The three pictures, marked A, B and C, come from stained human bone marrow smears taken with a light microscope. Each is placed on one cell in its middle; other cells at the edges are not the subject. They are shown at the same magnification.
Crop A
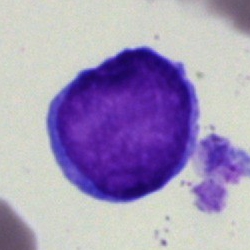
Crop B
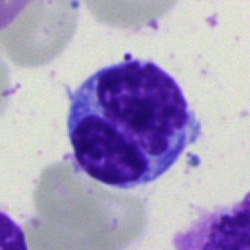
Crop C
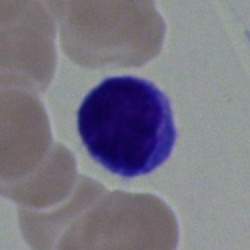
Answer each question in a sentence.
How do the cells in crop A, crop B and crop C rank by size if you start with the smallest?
From the smallest up, the order is C, B, A.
